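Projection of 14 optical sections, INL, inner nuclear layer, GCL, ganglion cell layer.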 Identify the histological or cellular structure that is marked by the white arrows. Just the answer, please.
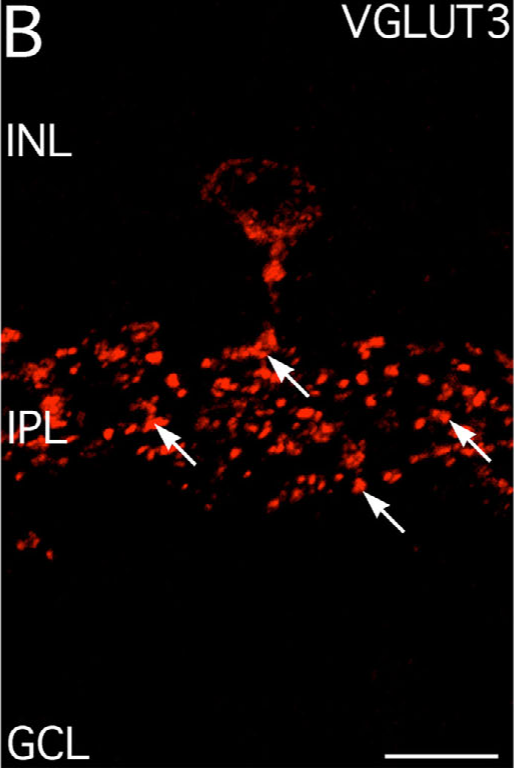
Terminals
